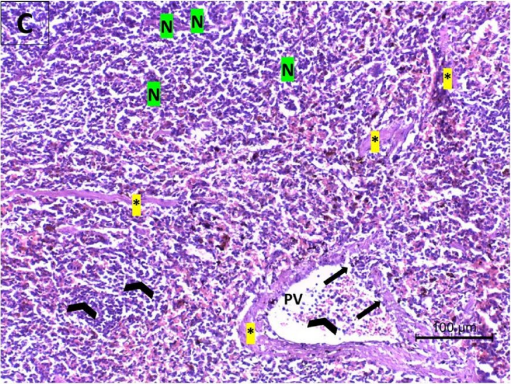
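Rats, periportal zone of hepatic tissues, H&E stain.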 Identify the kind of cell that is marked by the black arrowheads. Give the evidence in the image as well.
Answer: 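The arrowheads point to clusters of small cells with dark round nuclei. One cluster lies within the lumen of a large vessel. That points to this answer: inflammatory cells.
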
